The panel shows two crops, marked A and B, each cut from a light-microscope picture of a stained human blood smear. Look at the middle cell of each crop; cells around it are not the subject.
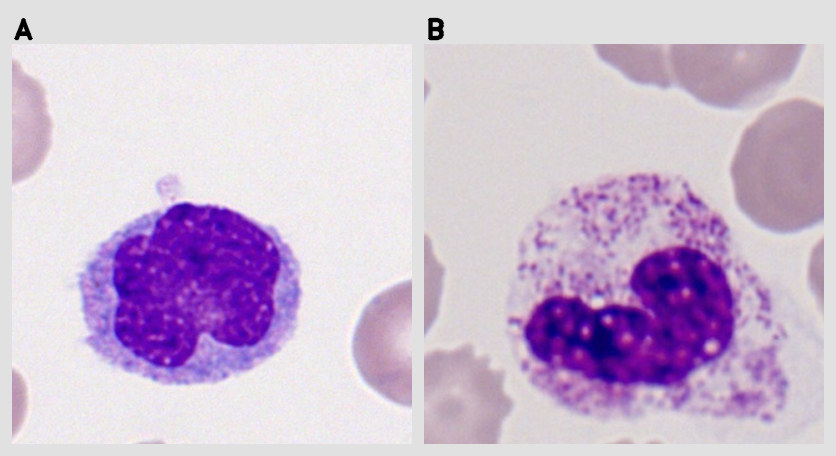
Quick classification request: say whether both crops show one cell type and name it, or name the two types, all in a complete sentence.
No, crop A is where a monocyte is shown, and crop B is where a segmented neutrophil is shown.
